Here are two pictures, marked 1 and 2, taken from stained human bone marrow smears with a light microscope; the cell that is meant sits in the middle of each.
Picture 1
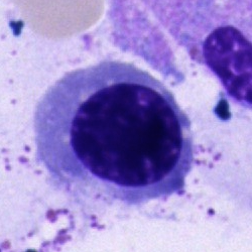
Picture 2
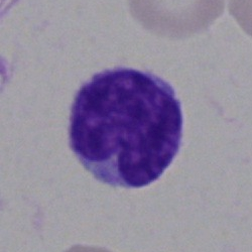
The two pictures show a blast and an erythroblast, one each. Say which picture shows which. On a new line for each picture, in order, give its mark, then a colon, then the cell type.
1: erythroblast
2: blast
